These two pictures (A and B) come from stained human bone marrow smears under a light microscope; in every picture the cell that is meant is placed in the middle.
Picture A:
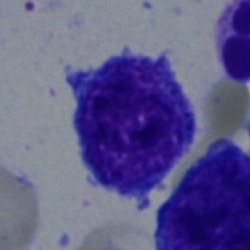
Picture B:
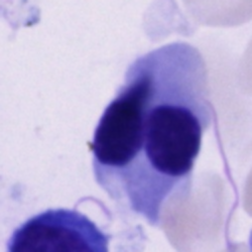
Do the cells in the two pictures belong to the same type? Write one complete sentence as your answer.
No. Picture A shows a blast, but picture B shows an erythroblast.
